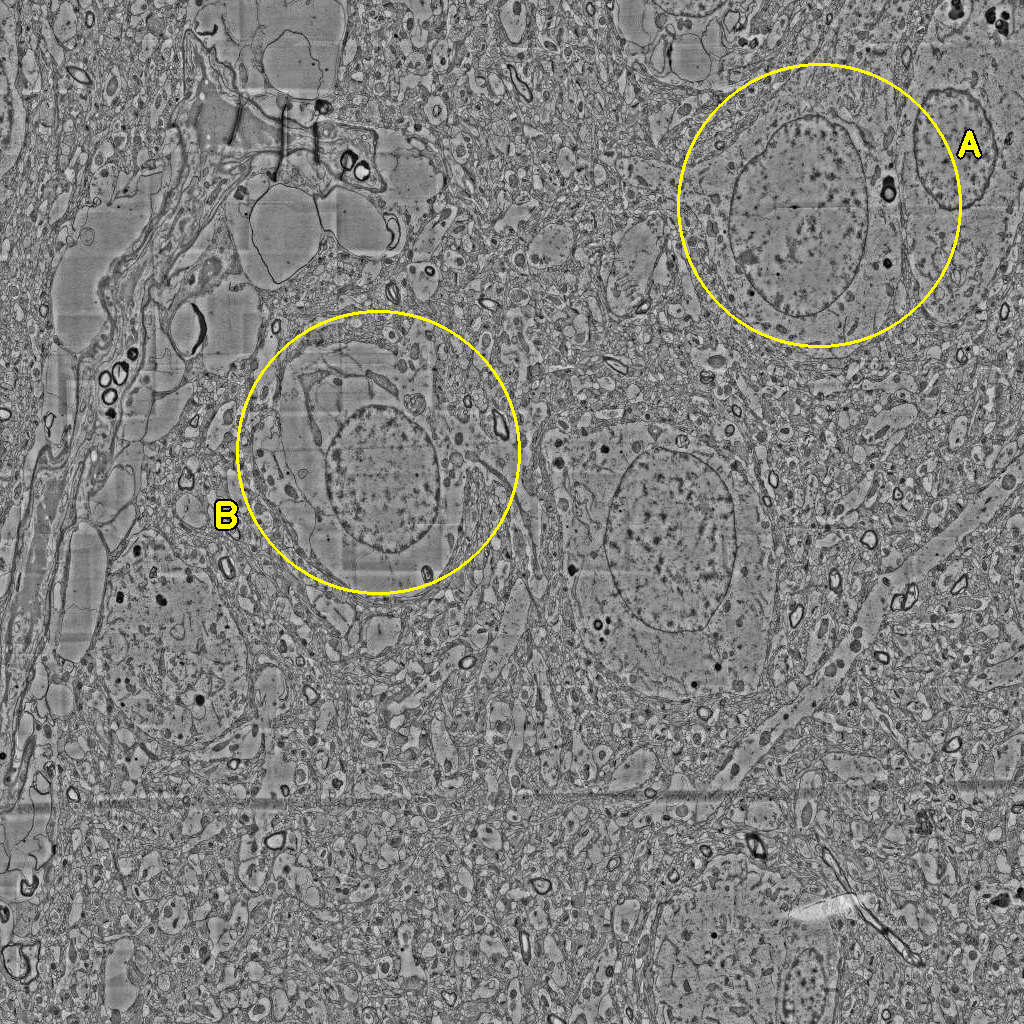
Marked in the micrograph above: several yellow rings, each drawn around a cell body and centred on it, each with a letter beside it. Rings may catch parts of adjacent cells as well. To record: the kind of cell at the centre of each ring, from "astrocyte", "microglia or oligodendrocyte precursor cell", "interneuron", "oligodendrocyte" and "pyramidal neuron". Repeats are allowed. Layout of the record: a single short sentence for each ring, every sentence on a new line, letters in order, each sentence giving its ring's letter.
At the centre of ring A lies a pyramidal neuron.
At the centre of ring B lies an astrocyte.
